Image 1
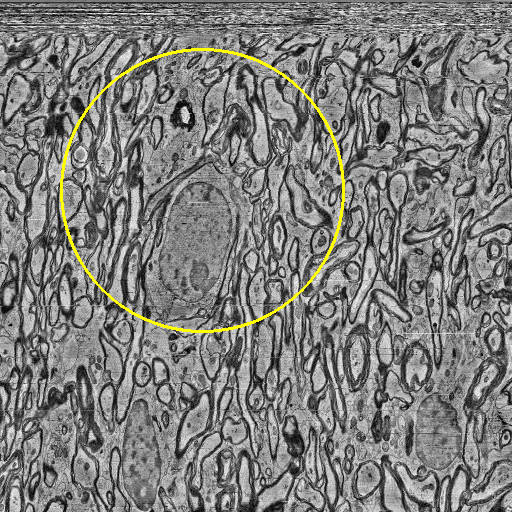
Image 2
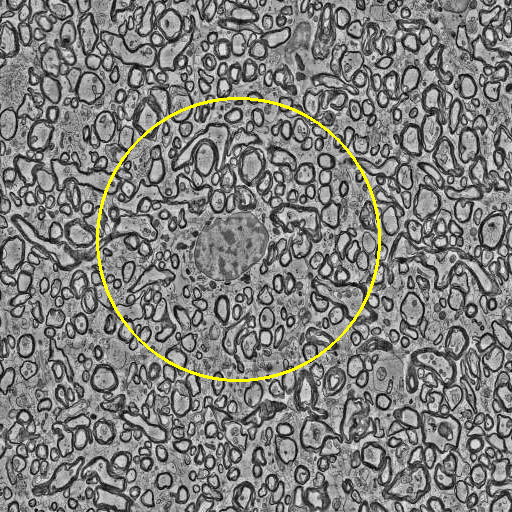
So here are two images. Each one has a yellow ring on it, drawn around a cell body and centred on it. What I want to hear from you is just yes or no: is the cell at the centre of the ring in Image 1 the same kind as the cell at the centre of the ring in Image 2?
no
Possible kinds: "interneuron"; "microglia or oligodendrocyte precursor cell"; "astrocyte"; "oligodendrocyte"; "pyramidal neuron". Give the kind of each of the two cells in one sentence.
The cell in the second picture is a microglial cell or oligodendrocyte precursor cell, and that in the first is an astrocyte.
